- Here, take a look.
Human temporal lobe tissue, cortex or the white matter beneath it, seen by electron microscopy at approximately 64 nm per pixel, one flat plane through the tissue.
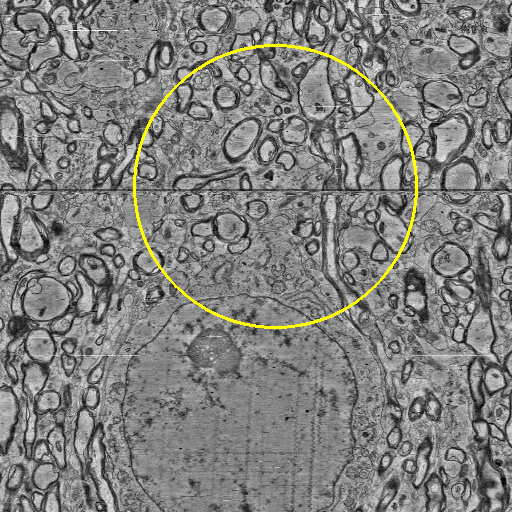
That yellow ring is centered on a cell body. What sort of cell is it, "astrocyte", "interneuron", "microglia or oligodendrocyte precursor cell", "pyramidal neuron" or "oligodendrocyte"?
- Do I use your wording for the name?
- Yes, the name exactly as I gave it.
microglia or oligodendrocyte precursor cell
